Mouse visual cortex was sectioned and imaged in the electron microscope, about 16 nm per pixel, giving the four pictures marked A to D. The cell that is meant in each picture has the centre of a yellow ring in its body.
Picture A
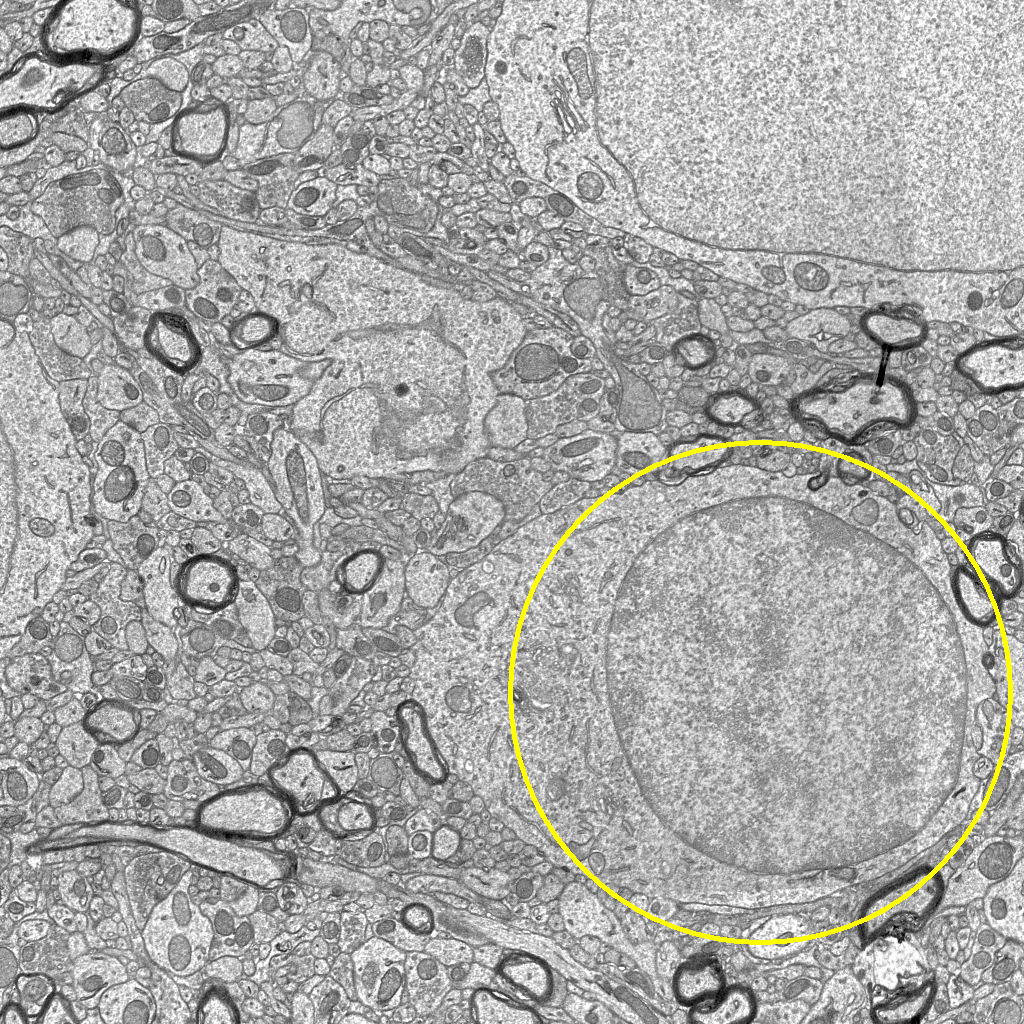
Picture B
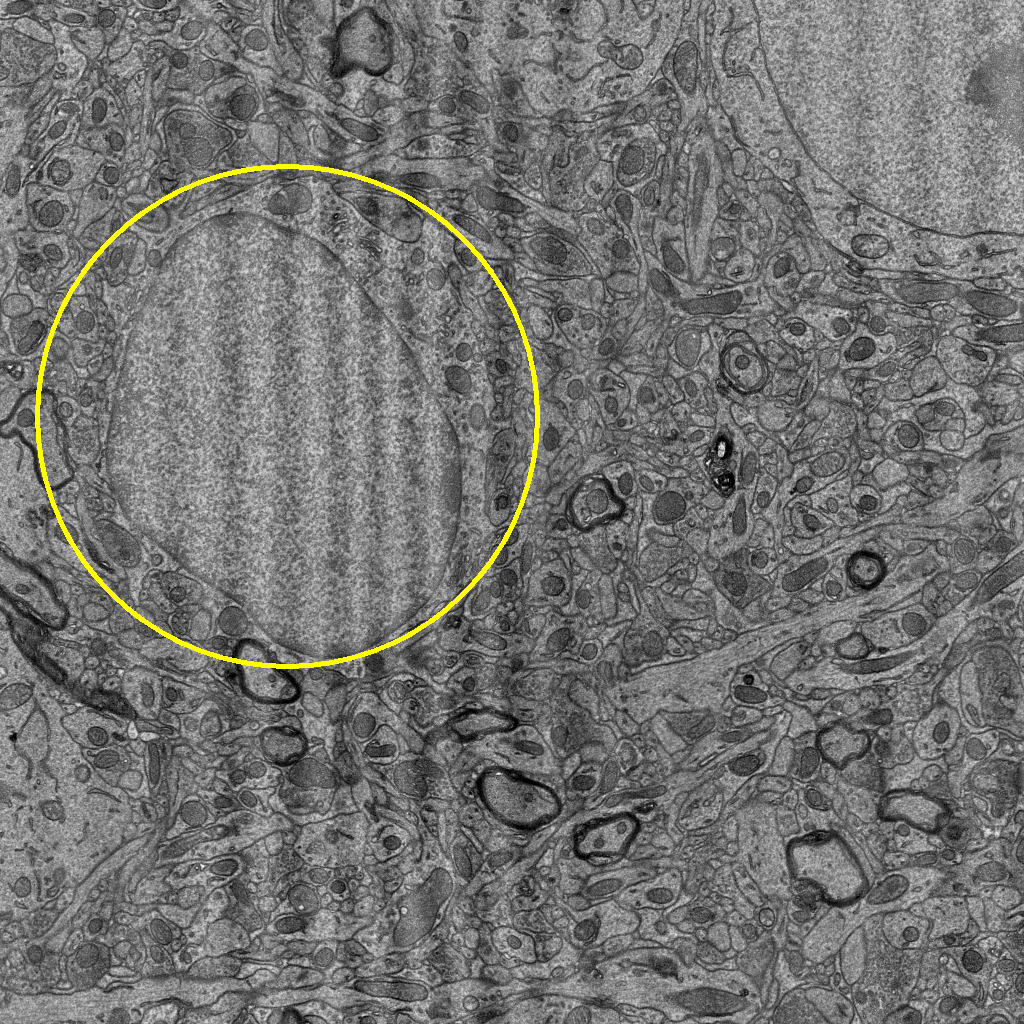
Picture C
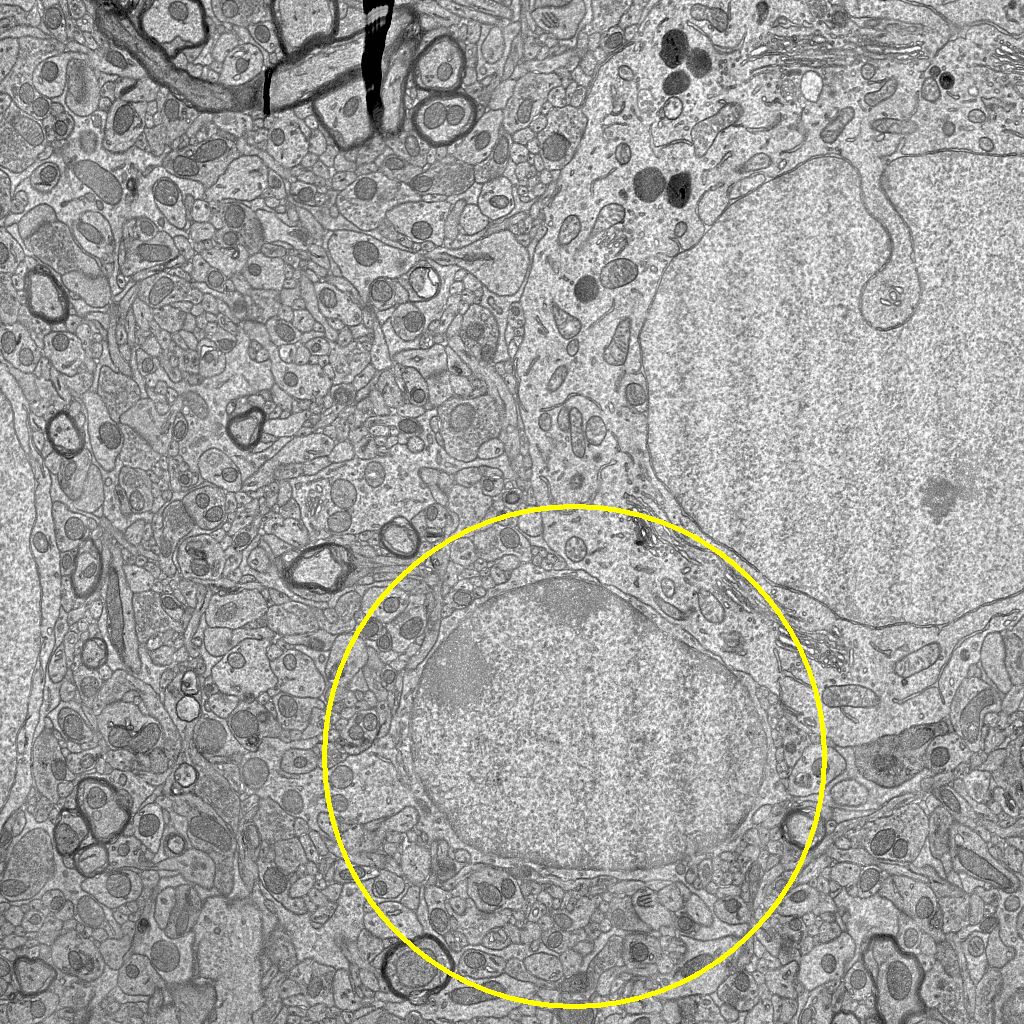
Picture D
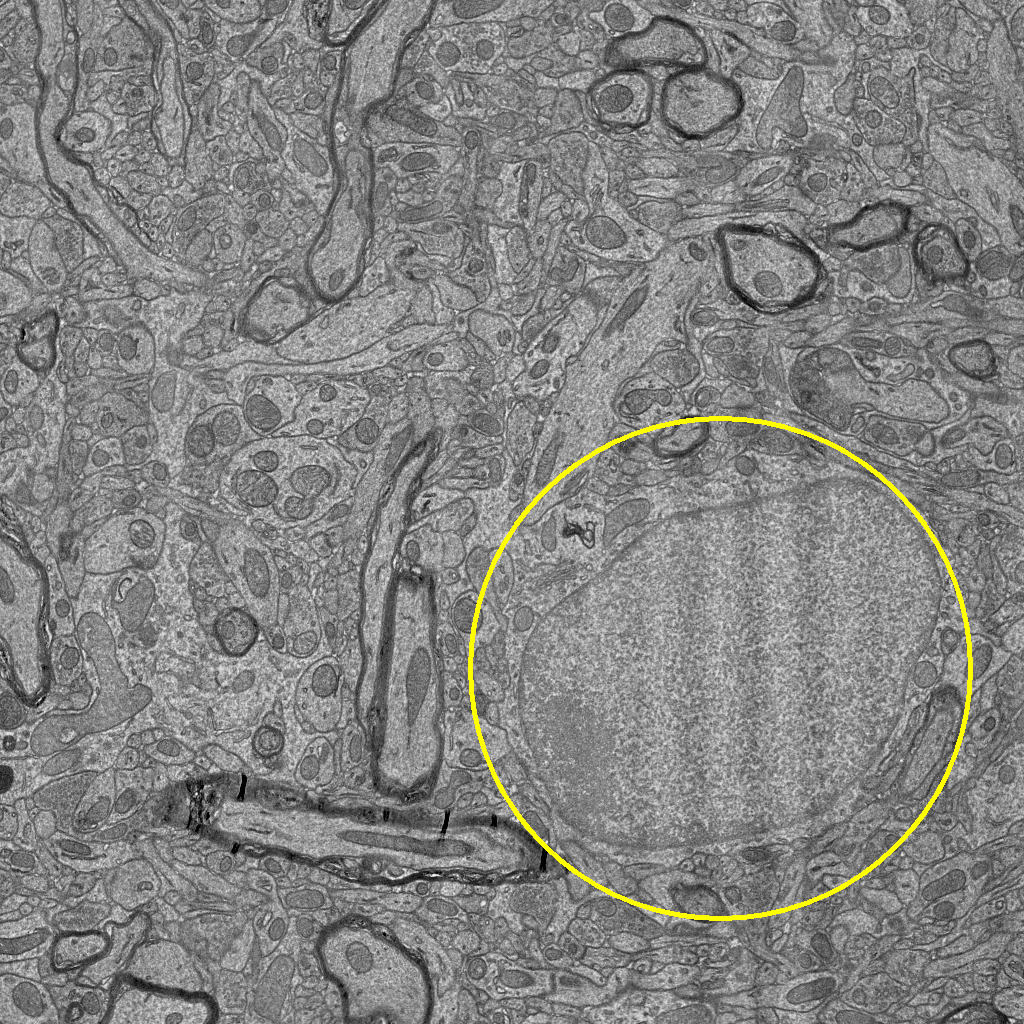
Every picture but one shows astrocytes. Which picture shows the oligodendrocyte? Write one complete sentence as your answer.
The cell in picture A is the oligodendrocyte.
